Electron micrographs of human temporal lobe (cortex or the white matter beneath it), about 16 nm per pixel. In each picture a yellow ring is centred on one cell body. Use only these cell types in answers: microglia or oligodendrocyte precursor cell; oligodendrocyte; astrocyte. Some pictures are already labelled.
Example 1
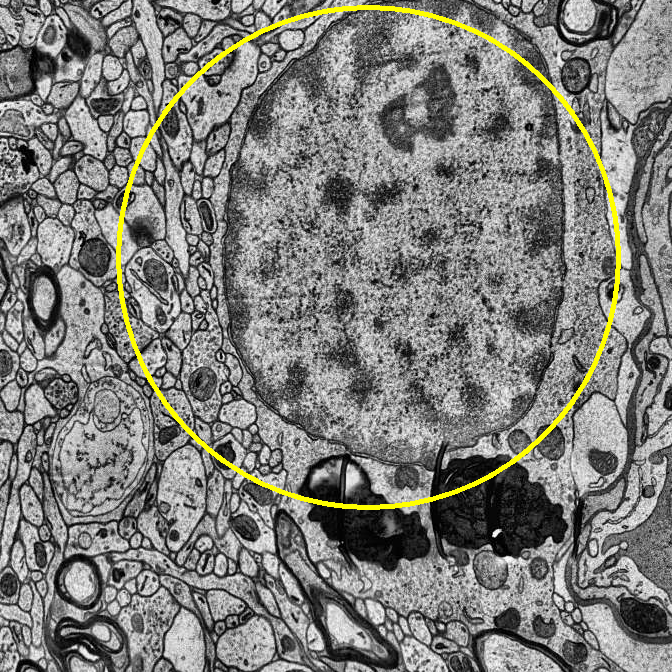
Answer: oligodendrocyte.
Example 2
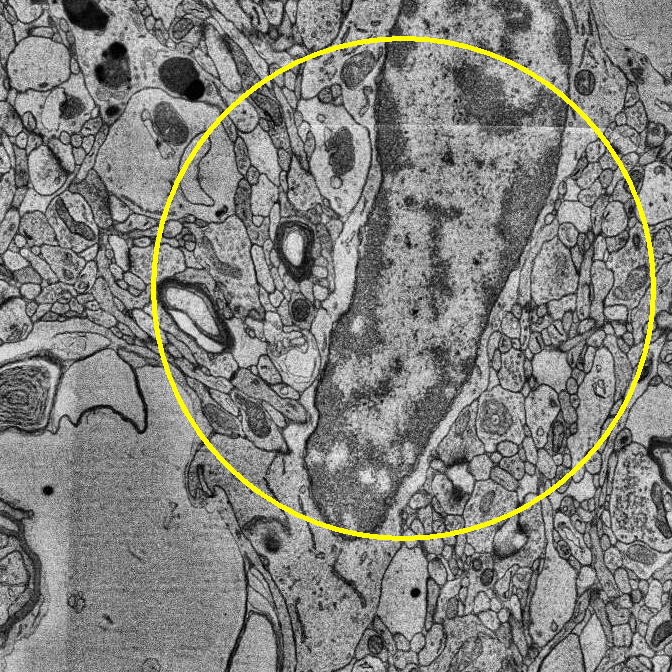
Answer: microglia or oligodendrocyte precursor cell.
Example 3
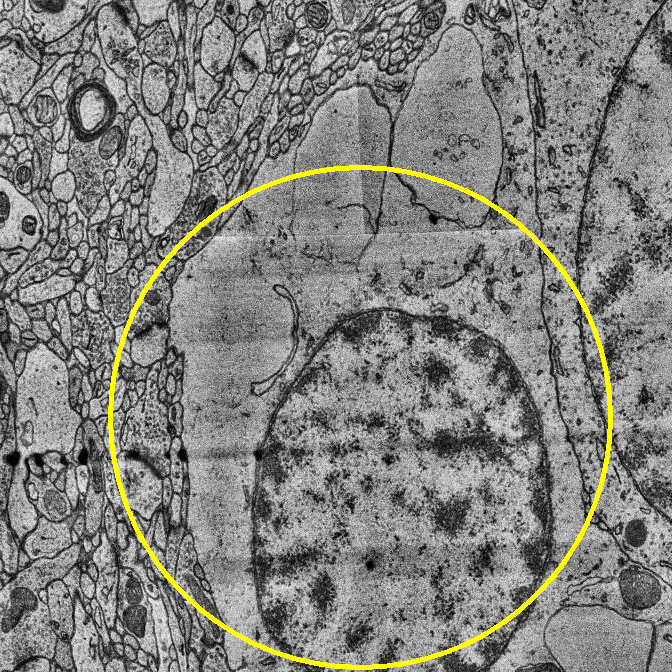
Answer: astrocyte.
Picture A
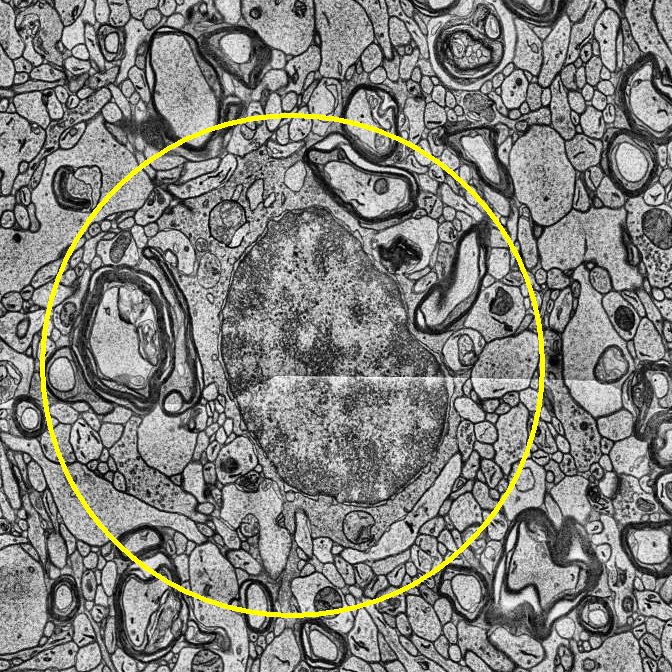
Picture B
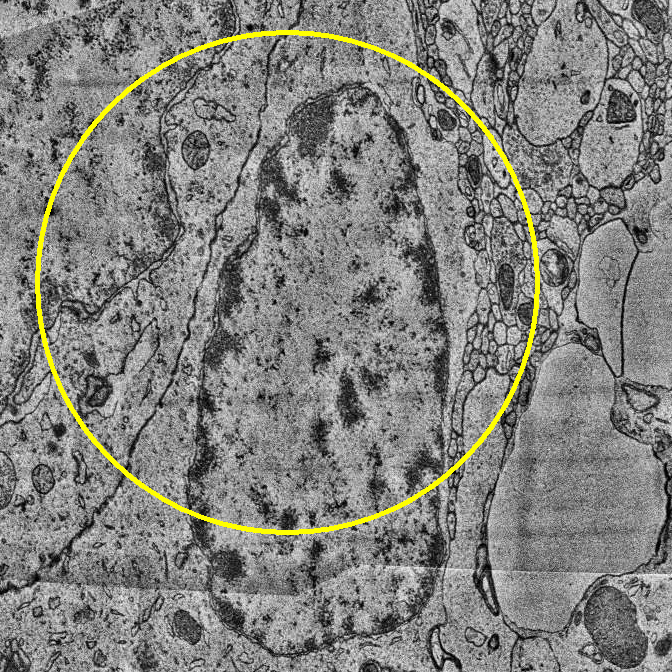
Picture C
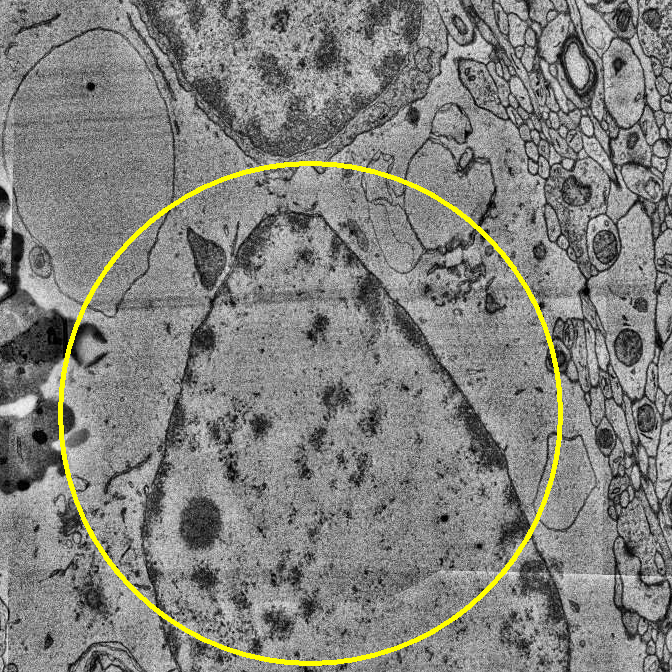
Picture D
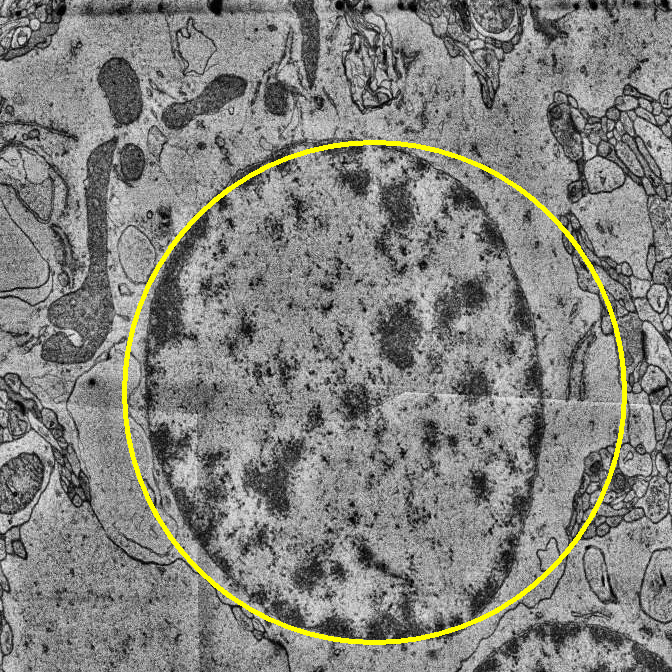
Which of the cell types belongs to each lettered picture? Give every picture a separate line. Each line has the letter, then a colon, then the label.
A: oligodendrocyte.
B: microglia or oligodendrocyte precursor cell.
C: astrocyte.
D: astrocyte.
